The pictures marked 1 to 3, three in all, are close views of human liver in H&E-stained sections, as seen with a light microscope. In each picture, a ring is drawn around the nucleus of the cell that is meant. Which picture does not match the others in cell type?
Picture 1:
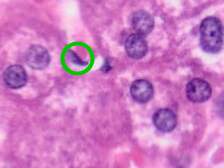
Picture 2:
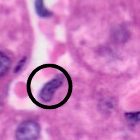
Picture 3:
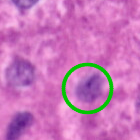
2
